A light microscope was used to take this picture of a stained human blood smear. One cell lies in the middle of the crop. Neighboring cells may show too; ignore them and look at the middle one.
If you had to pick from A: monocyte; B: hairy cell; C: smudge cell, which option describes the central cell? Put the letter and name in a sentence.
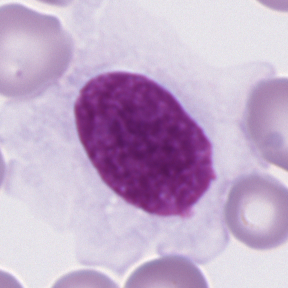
Since the cell in the centre is a hairy cell, the correct option is B.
